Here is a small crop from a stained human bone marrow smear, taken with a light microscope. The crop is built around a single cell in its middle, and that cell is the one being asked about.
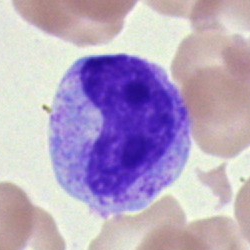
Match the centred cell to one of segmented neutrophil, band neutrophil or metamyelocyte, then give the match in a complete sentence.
The cell marked by its central position in the crop is a metamyelocyte.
